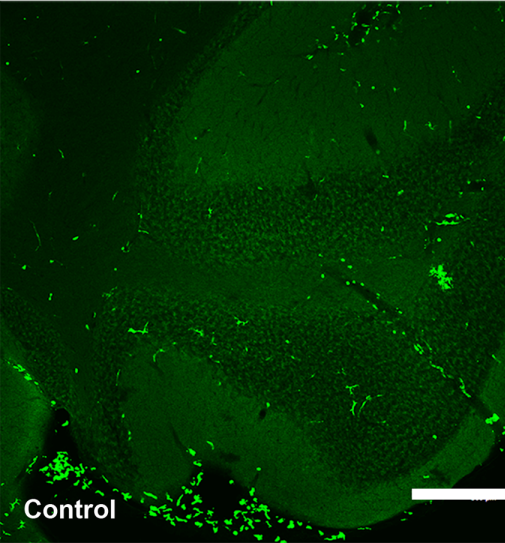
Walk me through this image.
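This section shows cerebellar folia, each with a dark, finely granular inner granular layer and a smoother outer molecular layer. Only scattered small green cells with short processes lie within the tissue. A dense cluster of small green cells sits along the lower edge of the section, outside the folia.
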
